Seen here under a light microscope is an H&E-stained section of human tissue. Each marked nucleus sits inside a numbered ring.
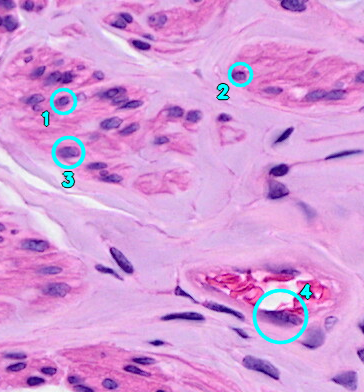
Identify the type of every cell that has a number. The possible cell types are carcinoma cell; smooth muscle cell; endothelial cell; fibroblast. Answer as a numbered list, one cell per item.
1. smooth muscle cell
2. smooth muscle cell
3. smooth muscle cell
4. endothelial cell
